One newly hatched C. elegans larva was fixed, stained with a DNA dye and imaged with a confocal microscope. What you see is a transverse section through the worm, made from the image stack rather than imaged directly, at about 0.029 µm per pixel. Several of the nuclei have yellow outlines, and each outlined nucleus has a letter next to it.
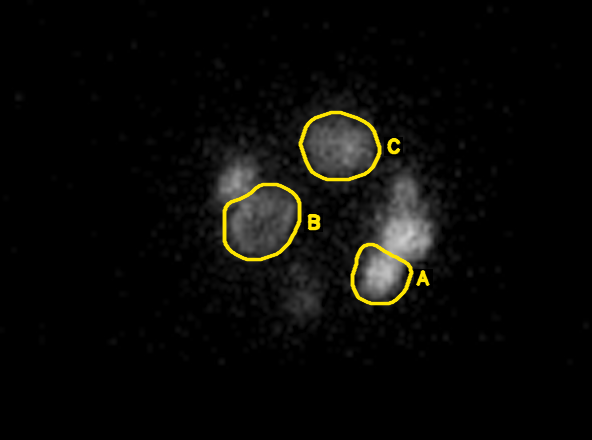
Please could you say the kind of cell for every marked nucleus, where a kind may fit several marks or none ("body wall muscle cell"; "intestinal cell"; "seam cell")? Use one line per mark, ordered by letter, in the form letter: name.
A: body wall muscle cell
B: intestinal cell
C: seam cell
